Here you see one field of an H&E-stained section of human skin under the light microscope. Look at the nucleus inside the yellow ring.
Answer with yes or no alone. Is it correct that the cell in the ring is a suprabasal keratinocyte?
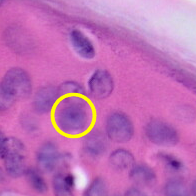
yes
